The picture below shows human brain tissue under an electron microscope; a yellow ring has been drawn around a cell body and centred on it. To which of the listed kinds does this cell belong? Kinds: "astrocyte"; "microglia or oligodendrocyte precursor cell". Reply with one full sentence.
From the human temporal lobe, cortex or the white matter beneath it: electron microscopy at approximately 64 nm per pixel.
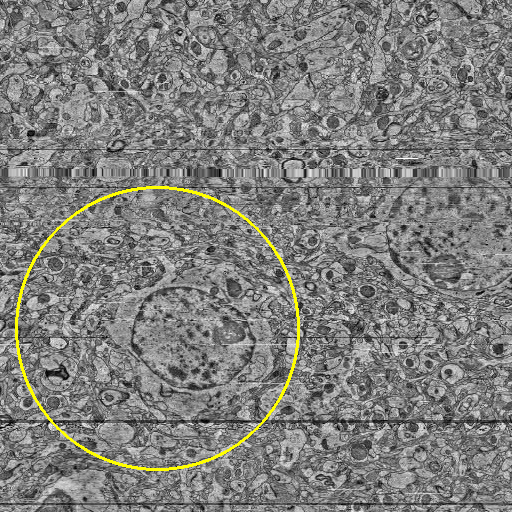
It is an astrocyte that the yellow ring in the picture is centred on.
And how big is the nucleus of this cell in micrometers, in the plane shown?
The nucleus of the ringed cell is approximately 8 by 7 micrometres in this plane.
